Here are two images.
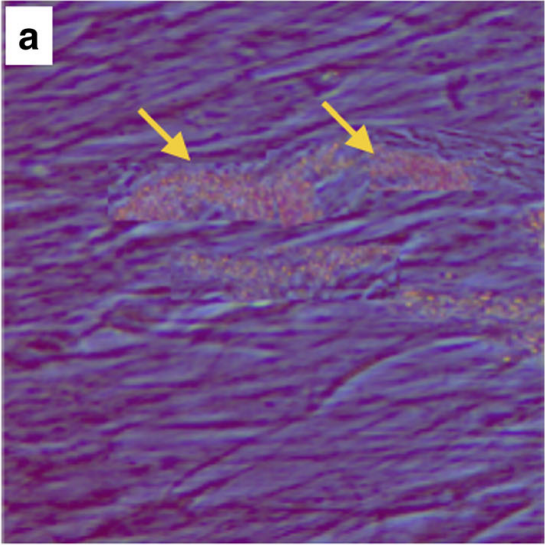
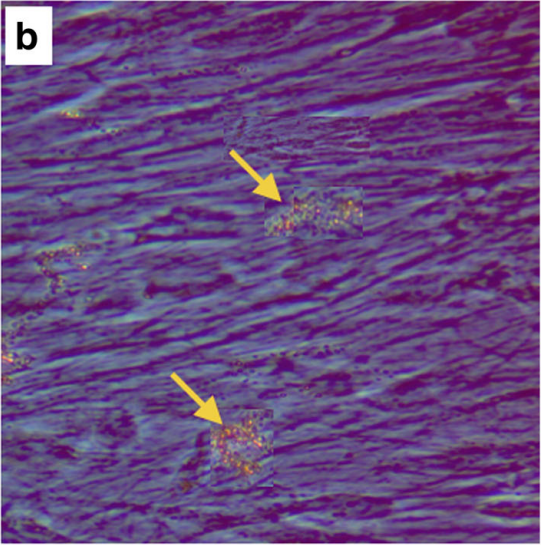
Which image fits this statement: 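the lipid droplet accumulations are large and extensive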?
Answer: The first image.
